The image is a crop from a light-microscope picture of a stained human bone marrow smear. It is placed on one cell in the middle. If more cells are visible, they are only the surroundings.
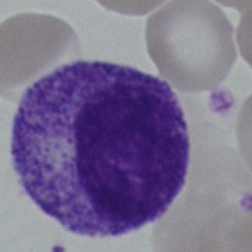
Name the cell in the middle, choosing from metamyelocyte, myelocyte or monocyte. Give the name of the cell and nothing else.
myelocyte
